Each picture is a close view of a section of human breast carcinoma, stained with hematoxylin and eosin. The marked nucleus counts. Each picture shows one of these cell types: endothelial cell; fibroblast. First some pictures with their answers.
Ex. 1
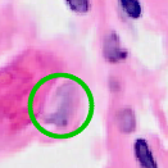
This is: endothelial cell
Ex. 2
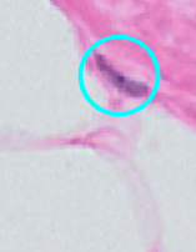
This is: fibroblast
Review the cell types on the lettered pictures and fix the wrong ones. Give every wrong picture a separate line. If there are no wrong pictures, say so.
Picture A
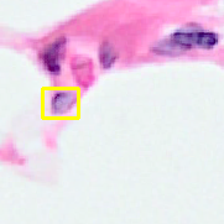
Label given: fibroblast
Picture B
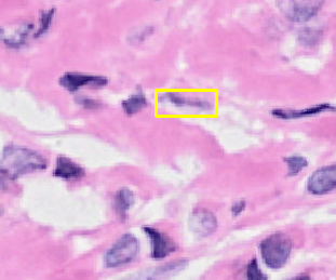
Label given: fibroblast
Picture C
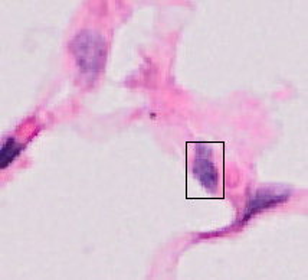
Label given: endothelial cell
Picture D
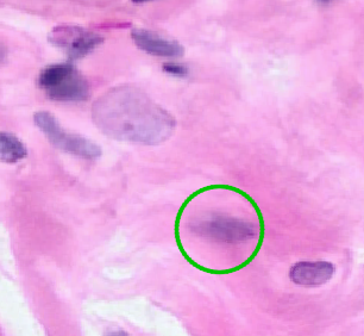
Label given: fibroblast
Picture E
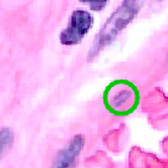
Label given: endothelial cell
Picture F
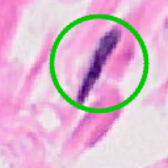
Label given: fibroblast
A should be endothelial cell, not fibroblast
